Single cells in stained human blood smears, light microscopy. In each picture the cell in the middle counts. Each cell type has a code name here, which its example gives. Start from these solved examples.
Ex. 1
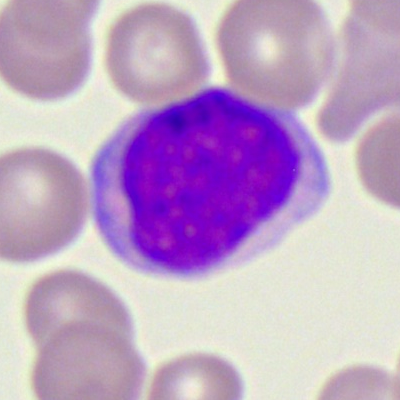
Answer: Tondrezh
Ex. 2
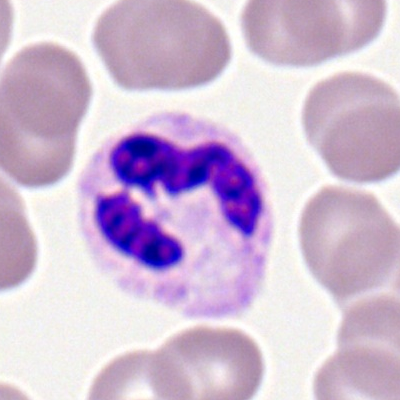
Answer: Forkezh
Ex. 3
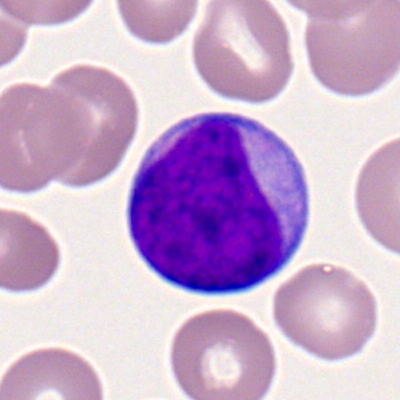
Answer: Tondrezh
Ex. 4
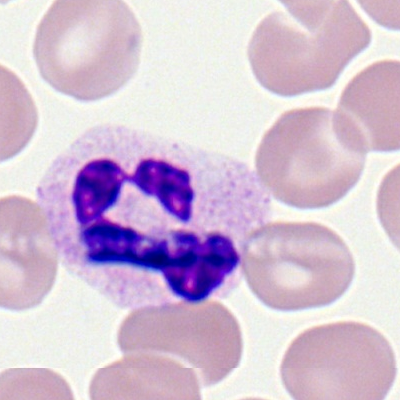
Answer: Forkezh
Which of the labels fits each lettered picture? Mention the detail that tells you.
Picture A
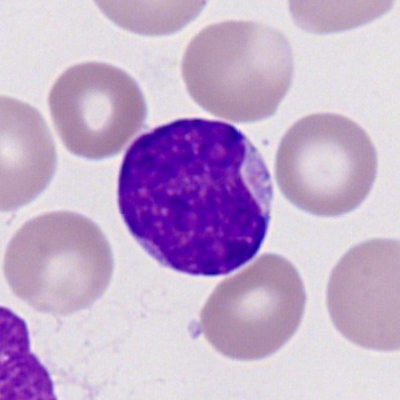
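Tondrezh. Reason: Only a scant amount of cytoplasm is visible, mostly as a crescent on the right.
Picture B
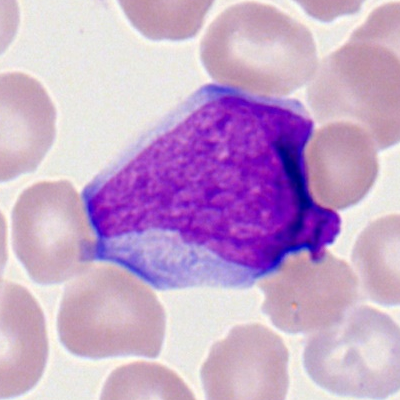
Tondrezh. Reason: The nucleus fills most of the cell.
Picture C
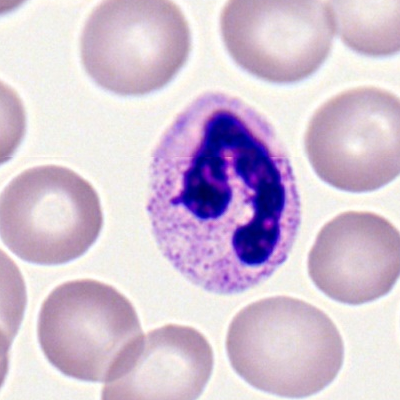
Forkezh. Reason: The cytoplasm is plentiful and pale pinkish-lilac.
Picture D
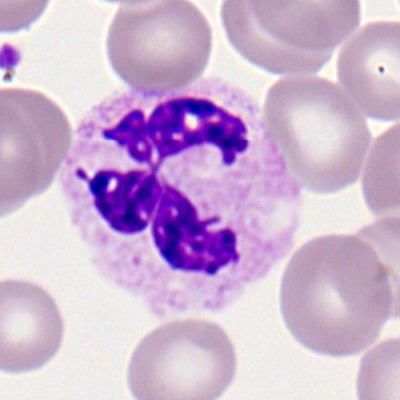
Forkezh. Reason: The nucleus is divided into separate lobes linked by thin strands.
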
